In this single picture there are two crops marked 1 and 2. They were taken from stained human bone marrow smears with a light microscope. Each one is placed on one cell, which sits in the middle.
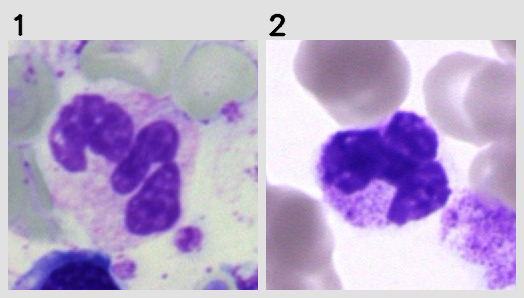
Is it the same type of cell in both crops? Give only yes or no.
yes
